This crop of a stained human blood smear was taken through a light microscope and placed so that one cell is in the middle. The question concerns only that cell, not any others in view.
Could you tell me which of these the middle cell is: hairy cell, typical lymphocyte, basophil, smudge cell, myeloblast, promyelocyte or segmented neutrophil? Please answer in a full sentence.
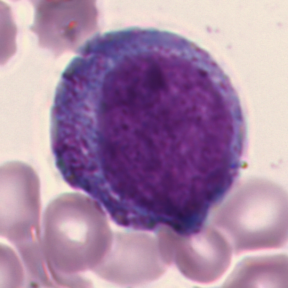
The cell in the middle of this crop is a promyelocyte.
